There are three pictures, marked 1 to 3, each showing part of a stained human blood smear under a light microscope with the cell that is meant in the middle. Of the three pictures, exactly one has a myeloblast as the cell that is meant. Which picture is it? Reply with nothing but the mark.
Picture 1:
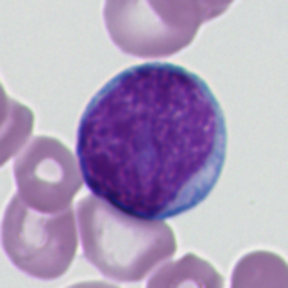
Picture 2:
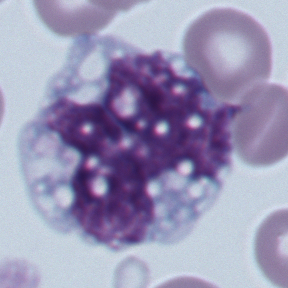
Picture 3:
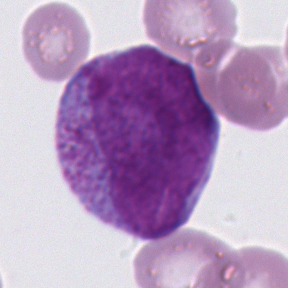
1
